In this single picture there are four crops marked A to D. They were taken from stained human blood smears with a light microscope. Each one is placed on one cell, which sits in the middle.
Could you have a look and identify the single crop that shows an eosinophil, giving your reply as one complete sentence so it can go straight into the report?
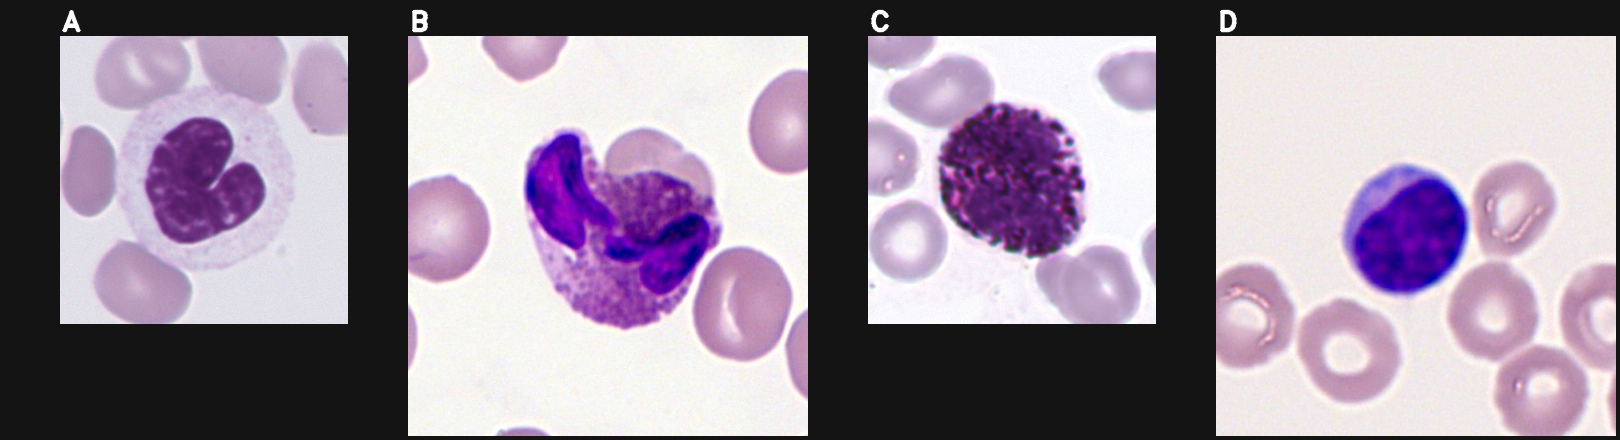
Among all the crops given here, the one with an eosinophil is crop B.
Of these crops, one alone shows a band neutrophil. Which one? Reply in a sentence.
The crop carrying a band neutrophil at the center is crop A.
